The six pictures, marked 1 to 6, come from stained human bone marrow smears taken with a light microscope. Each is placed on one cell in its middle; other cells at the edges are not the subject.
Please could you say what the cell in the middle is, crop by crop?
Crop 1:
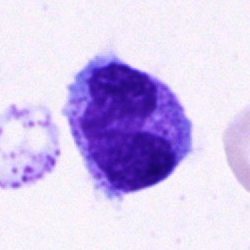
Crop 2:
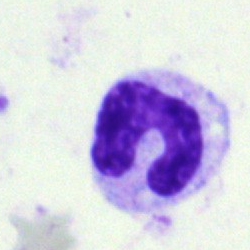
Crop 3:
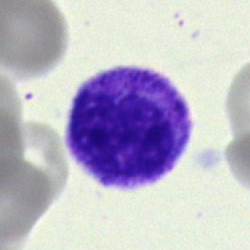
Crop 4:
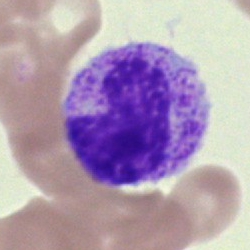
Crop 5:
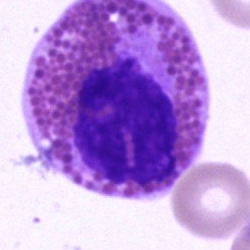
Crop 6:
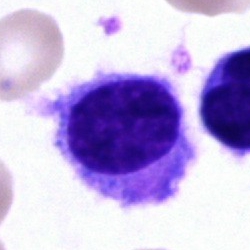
1: metamyelocyte
2: band neutrophil
3: myelocyte
4: metamyelocyte
5: eosinophil
6: hairy cell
